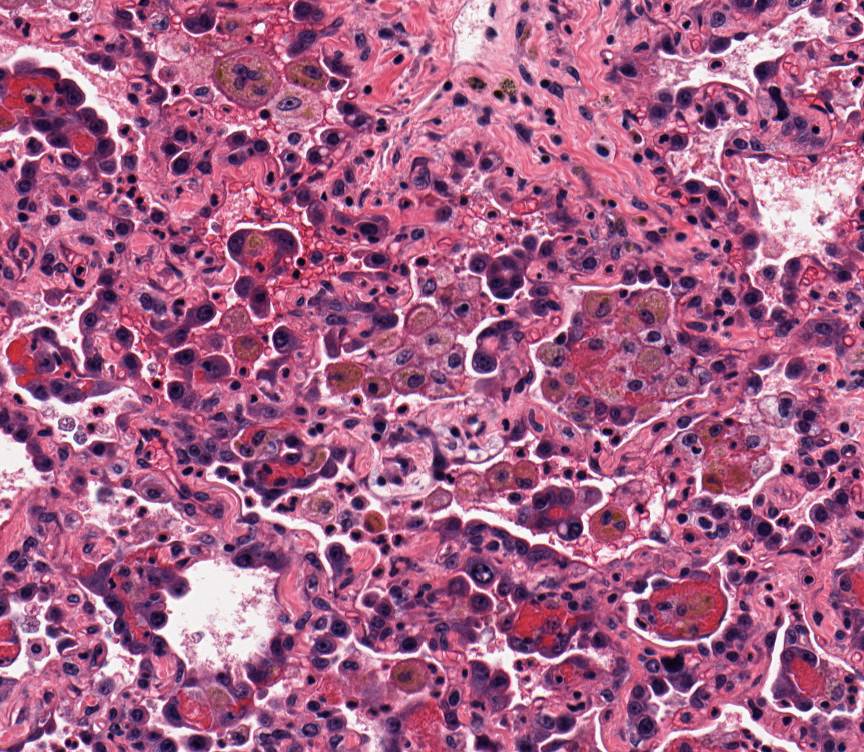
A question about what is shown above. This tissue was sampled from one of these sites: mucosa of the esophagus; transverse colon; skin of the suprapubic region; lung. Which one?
lung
